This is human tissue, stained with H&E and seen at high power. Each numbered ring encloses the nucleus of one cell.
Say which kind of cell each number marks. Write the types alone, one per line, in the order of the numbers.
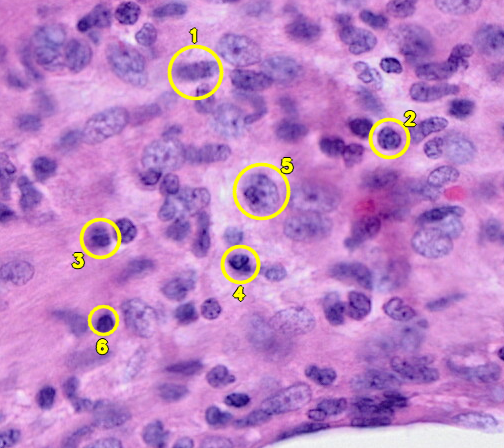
macrophage or monocyte
lymphocyte
lymphocyte
lymphocyte
fibroblast
lymphocyte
